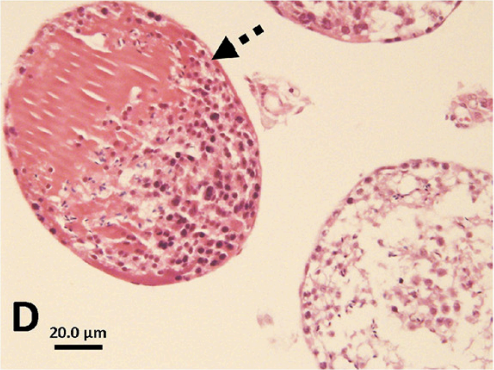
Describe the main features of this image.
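Testicular tissue in which one tubule is largely filled by homogeneous, streaked bright pink material, with densely crowded dark purple nuclei pushed against one side of its wall. Neighbouring tubules hold only loosely scattered cells with much empty space, and wide clear gaps separate the tubules.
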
